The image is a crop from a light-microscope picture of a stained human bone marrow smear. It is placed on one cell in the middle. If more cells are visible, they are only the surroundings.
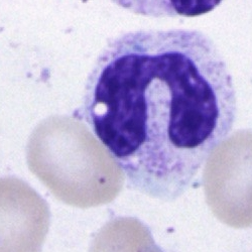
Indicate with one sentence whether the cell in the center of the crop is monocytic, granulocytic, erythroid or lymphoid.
The cell at the middle of this crop is assigned to the granulocytic lineage.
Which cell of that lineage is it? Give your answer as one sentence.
The cell of interest, located centrally, is a band neutrophil.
